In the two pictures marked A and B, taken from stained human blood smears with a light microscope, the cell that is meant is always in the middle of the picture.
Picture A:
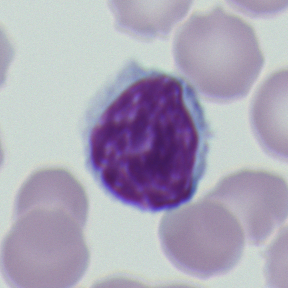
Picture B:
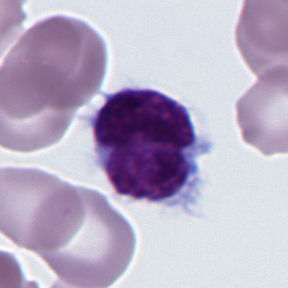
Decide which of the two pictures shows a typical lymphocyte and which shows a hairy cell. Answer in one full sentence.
In picture A the cell is a typical lymphocyte; in picture B, a hairy cell.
